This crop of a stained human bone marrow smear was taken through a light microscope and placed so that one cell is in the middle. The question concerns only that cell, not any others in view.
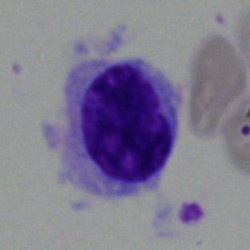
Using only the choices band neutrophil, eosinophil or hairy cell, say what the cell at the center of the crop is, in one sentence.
Classification of the middle cell gives a hairy cell.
